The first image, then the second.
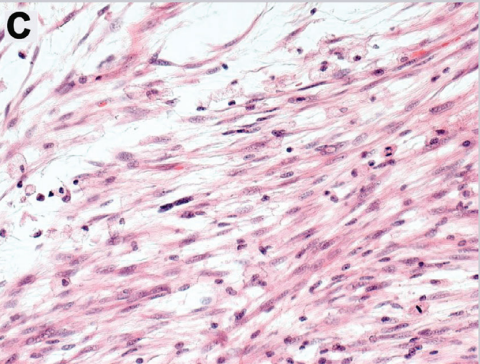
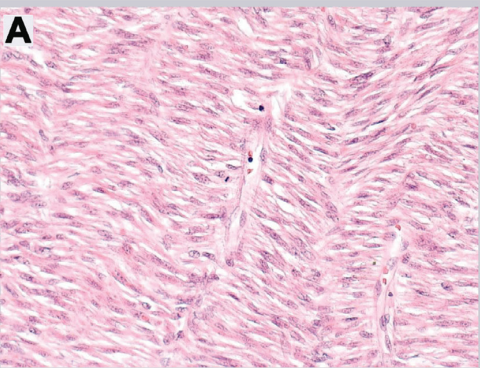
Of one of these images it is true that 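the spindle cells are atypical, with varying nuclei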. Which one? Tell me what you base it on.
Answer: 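First image: spindle nuclei differ in size, shape and darkness, in a loose pale background. Second image: nuclei are uniform and cigar-shaped in tightly packed fascicles. That points to this answer: the first image.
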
